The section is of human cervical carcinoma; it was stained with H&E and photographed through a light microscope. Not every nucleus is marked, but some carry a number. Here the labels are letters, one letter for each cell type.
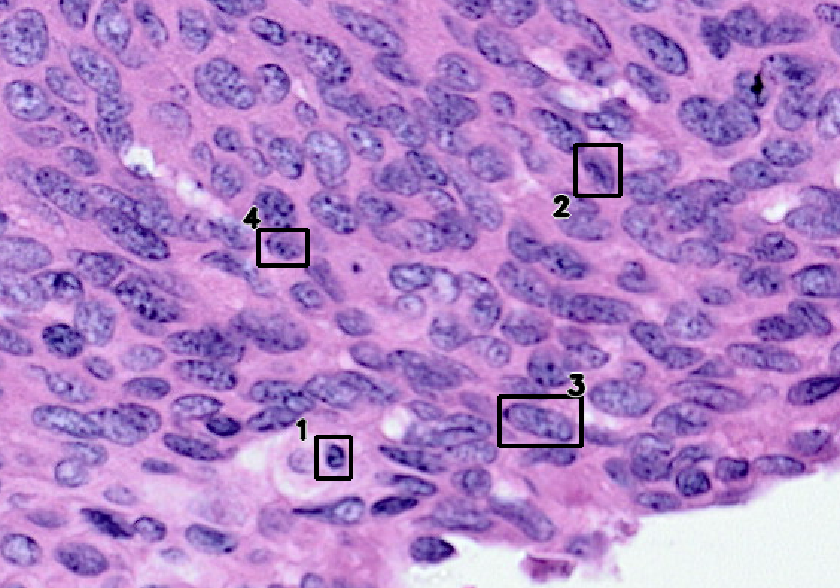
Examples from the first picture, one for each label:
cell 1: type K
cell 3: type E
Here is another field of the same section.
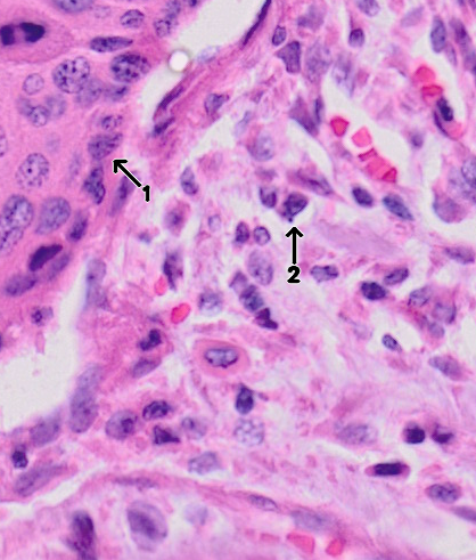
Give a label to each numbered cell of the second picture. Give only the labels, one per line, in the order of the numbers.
type E
type K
